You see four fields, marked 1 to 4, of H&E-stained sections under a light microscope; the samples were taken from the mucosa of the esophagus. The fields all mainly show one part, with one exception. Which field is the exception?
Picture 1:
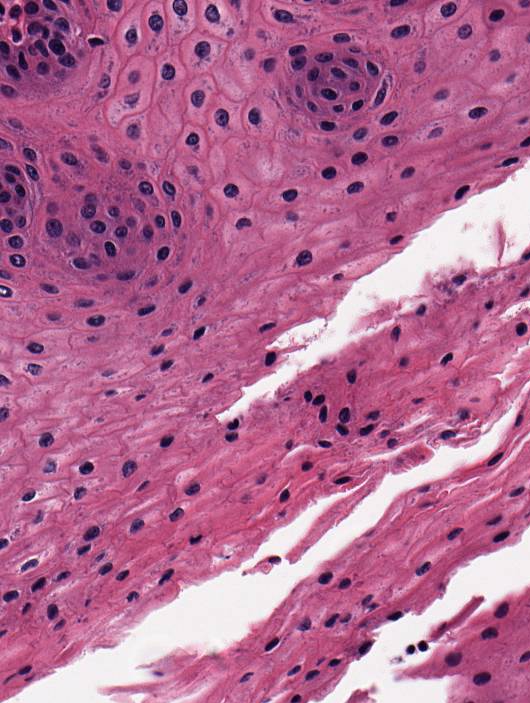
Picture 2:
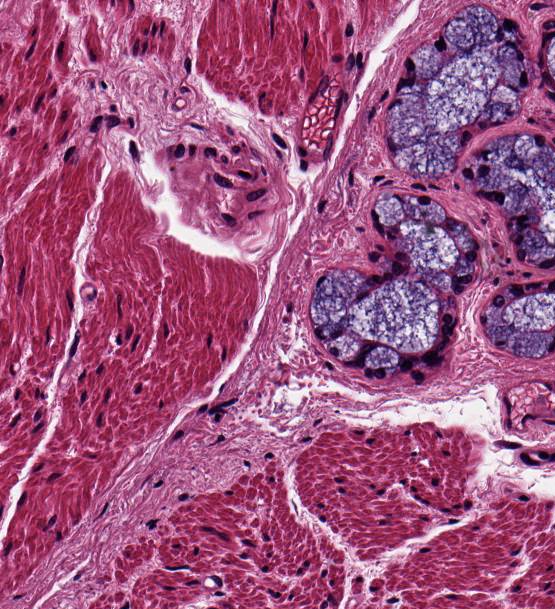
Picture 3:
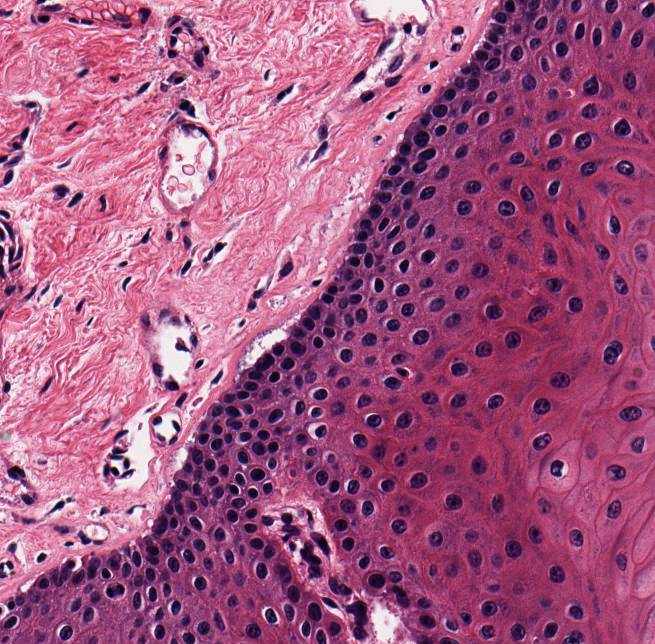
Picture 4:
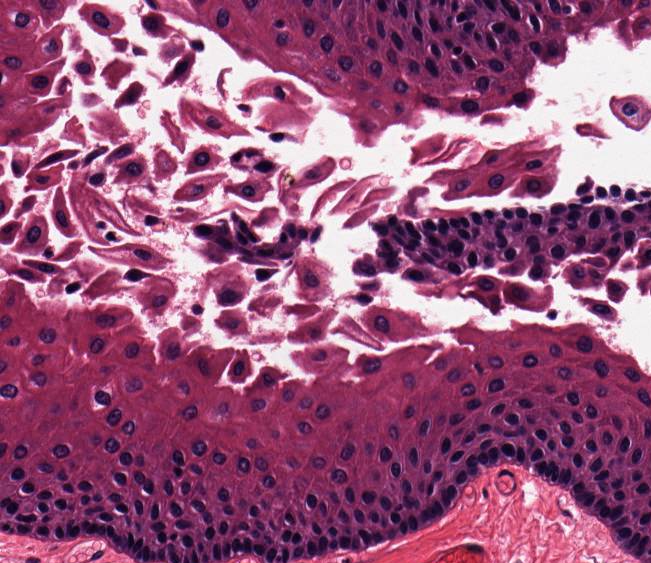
2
